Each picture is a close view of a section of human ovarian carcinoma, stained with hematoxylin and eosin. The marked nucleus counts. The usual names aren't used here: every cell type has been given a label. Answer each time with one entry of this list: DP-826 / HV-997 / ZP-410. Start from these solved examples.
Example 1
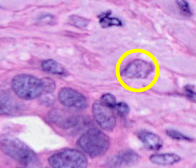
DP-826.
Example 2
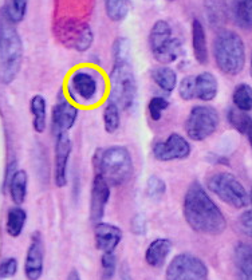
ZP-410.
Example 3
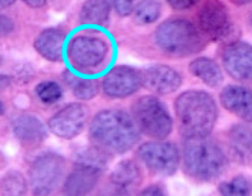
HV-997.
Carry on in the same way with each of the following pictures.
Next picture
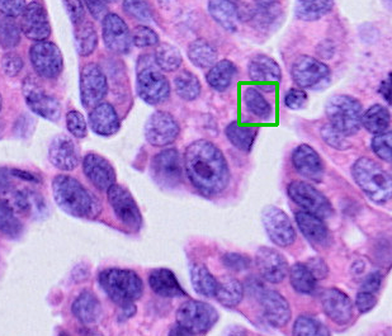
HV-997.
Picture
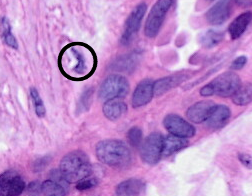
DP-826.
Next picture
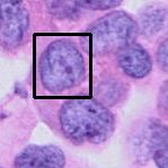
HV-997.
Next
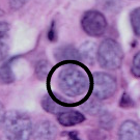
HV-997.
